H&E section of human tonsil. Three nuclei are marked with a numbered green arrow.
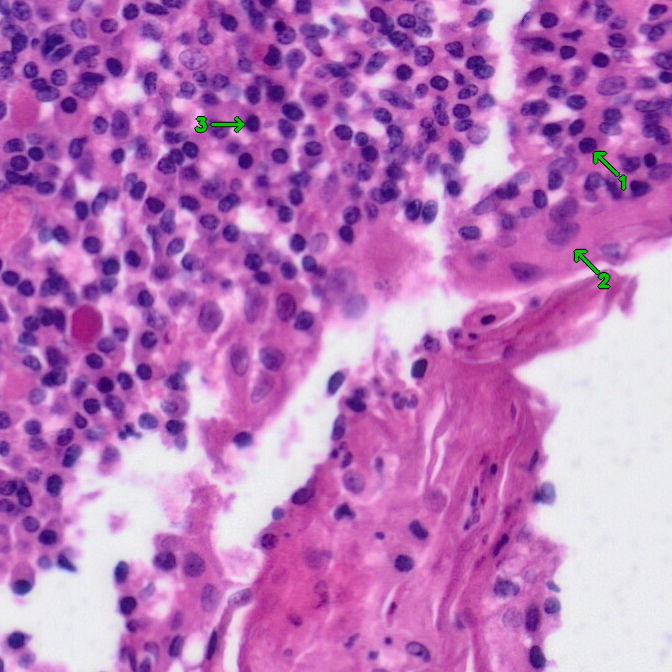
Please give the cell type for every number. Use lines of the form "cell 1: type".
cell 1: plasma cell
cell 2: squamous epithelial cell
cell 3: plasma cell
